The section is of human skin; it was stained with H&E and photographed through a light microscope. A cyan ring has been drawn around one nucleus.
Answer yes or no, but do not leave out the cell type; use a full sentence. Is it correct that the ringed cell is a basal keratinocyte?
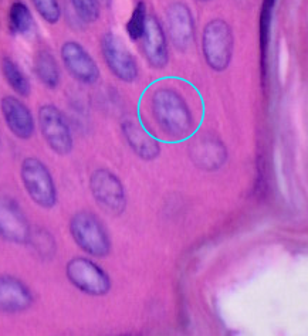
No, it is a suprabasal keratinocyte rather than a basal keratinocyte that the ringed cell is.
